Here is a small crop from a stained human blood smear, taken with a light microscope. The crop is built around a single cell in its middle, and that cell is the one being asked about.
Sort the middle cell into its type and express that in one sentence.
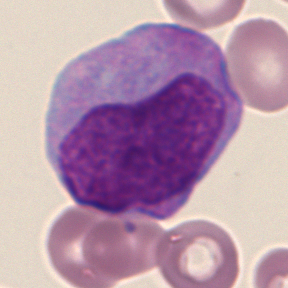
In the center of this field lies an atypical promyelocyte.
